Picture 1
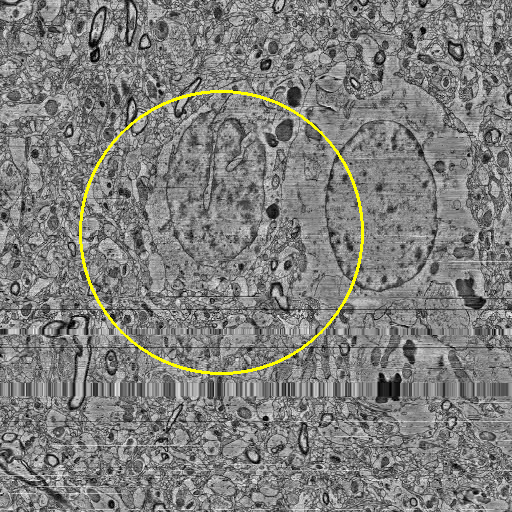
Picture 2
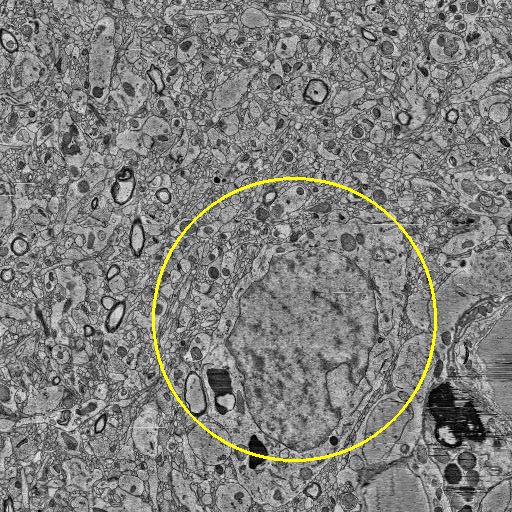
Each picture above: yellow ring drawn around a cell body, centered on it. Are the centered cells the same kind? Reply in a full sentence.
Yes, the two cells are the same kind.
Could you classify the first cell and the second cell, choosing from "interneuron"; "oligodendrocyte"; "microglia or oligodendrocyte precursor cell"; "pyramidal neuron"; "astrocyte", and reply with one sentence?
The first and the second cell are each an interneuron.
